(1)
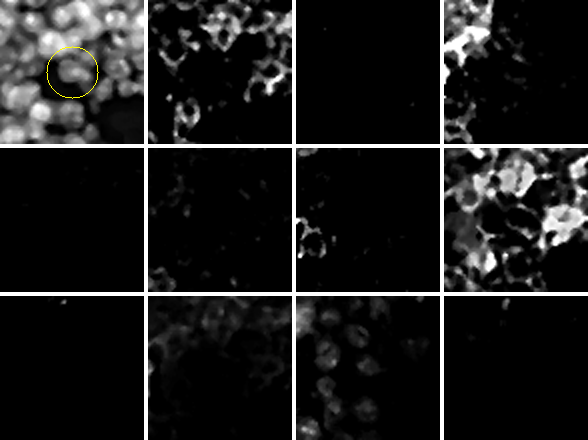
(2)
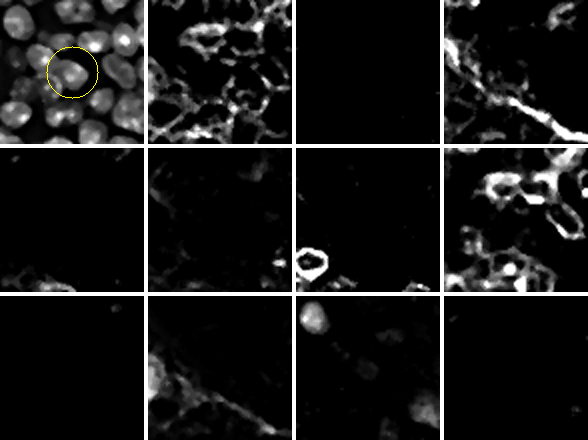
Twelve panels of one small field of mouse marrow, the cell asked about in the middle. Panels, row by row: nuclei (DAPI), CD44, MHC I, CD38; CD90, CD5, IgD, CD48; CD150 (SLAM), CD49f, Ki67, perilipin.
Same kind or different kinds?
Same: erythroblasts.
